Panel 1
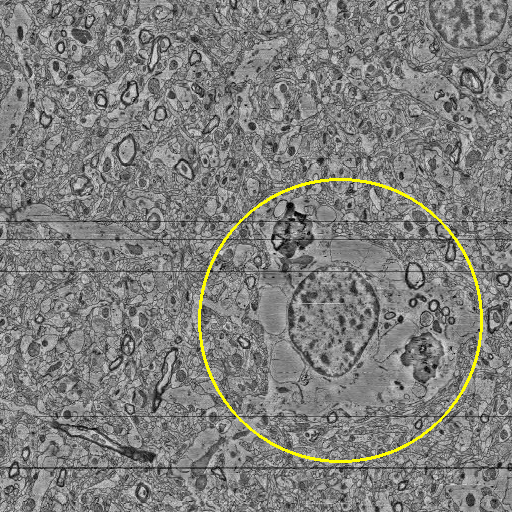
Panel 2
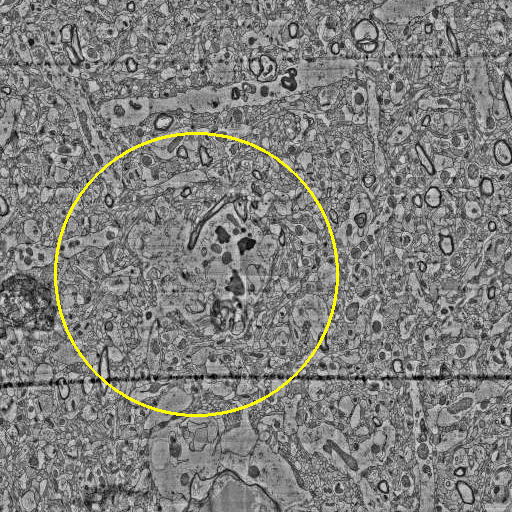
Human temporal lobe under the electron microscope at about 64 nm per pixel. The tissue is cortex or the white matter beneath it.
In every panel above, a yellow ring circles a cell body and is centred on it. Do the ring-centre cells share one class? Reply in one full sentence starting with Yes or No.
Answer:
Yes, the two cells at the ring centres in the panels belong to one class.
